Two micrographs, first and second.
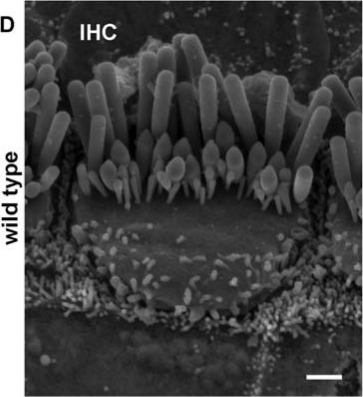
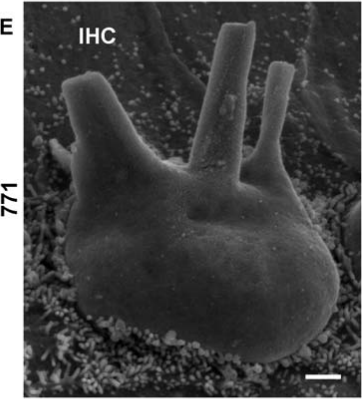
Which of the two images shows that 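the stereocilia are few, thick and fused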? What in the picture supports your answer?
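Second image: only a few thick projections merge into a bulging cell apex. First image: many separate slender rods stand in graded rows.
Answer: the second image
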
